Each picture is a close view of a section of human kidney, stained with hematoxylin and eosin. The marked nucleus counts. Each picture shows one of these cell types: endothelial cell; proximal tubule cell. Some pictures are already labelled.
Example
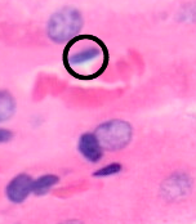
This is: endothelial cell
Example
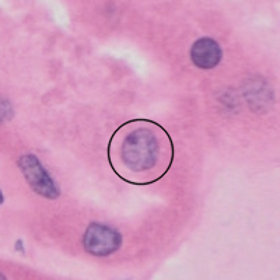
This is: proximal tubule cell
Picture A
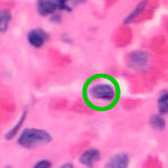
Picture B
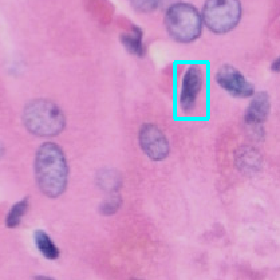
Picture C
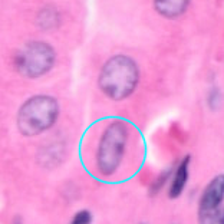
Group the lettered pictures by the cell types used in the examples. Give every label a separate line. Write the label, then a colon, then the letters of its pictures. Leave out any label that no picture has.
endothelial cell: A, B
proximal tubule cell: C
